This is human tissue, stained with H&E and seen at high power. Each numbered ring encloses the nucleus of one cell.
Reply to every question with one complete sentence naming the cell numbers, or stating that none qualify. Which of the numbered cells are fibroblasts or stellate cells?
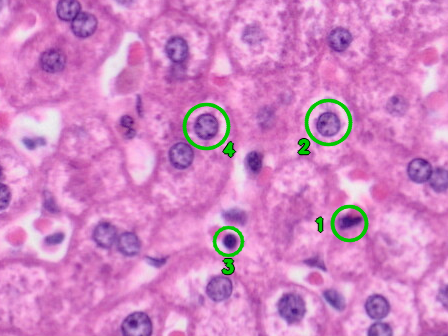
Cell 1 is a fibroblast or stellate cell, whereas each of the other numbered cells is not.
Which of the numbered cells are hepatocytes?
The cells numbered 2 and 4 are typed as hepatocytes.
